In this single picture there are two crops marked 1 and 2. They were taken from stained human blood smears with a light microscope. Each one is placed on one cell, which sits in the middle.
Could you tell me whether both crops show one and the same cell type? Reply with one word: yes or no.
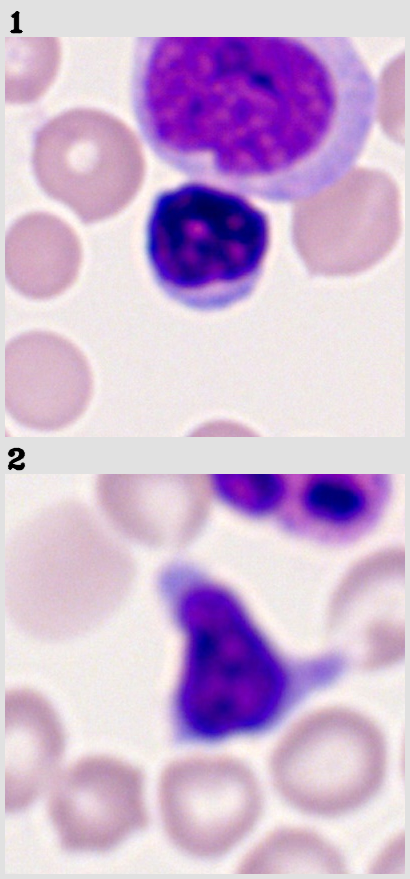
yes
